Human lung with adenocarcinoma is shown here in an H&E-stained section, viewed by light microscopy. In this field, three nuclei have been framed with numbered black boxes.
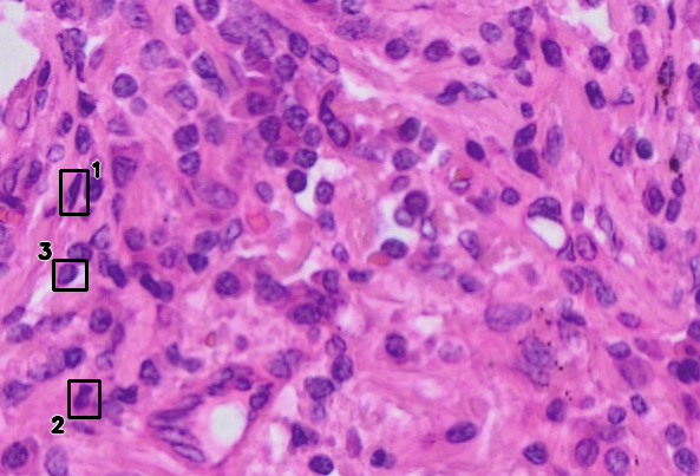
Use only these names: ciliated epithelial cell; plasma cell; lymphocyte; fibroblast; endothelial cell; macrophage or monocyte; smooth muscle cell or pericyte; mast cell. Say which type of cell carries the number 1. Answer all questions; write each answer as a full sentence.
Here the cell numbered 1 is a lymphocyte.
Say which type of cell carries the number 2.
The marked nucleus 2 is that of a plasma cell.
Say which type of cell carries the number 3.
The numbered cell 3 in this field is a lymphocyte.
